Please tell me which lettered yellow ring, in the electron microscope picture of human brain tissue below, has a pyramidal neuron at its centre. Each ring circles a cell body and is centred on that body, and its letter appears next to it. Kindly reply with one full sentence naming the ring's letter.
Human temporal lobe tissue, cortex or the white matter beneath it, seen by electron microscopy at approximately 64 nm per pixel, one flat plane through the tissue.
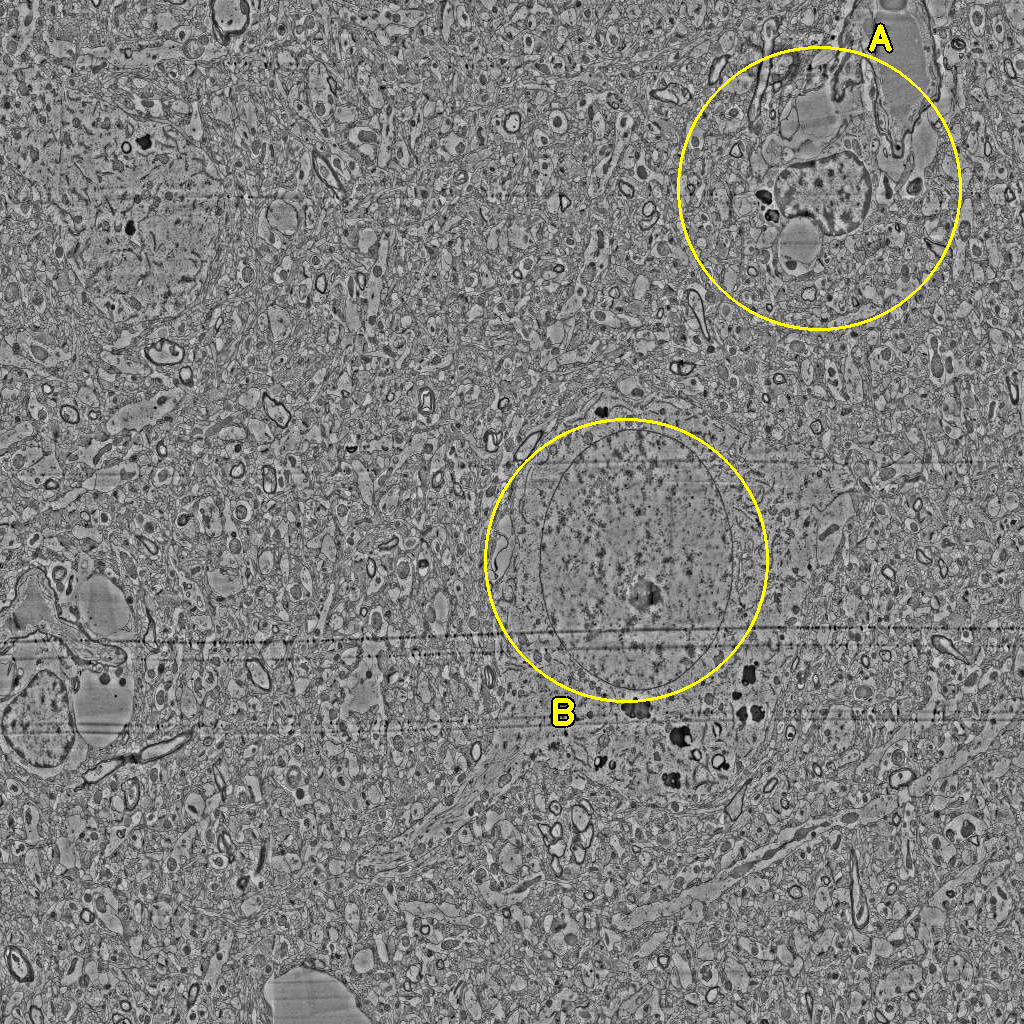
Ring B has the cell asked for at its centre.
